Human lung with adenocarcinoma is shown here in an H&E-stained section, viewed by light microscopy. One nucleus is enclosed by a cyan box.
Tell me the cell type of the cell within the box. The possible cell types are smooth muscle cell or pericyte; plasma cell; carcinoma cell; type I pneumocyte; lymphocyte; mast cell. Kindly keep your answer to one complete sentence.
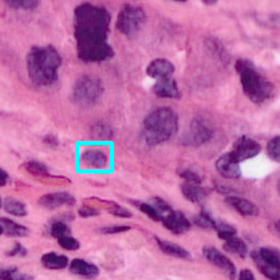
Within this tissue, the cell within the box is a lymphocyte.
